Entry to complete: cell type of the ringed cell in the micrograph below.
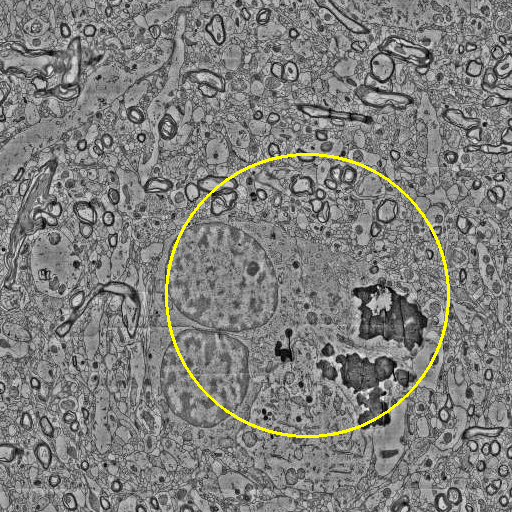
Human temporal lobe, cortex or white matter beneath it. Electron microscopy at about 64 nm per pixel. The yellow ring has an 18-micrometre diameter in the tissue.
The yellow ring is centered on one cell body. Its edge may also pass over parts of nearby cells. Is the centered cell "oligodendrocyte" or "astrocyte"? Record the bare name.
oligodendrocyte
